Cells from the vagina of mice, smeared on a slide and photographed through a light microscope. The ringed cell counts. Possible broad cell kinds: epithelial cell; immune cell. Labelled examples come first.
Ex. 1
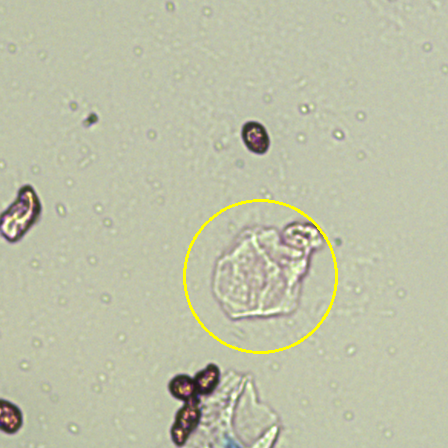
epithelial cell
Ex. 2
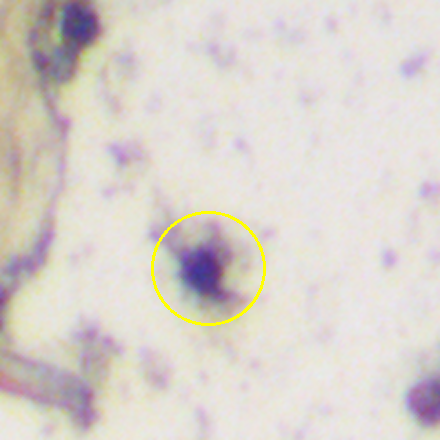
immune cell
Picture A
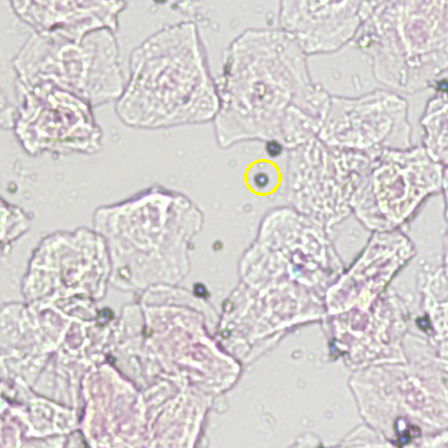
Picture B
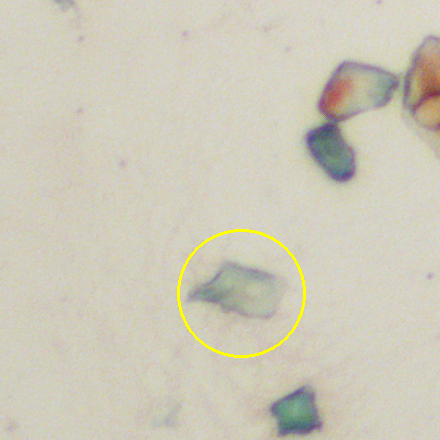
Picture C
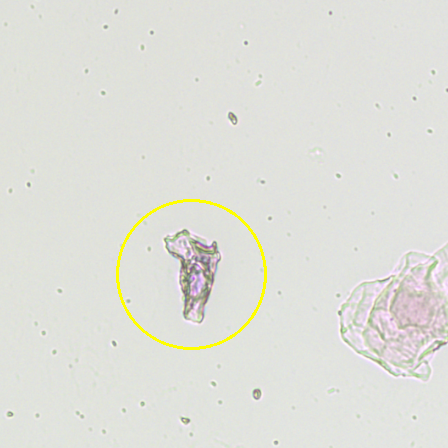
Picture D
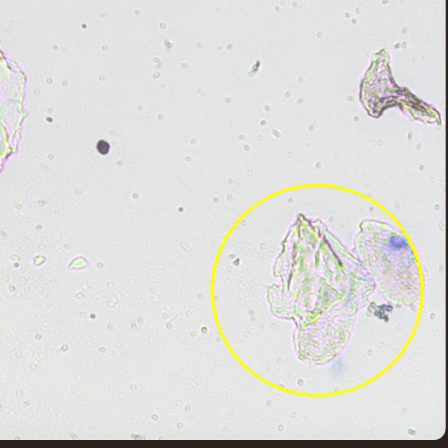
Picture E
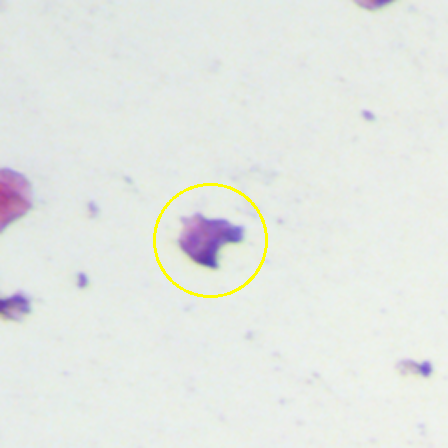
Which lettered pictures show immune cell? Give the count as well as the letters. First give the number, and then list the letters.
Count: 1 (A)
